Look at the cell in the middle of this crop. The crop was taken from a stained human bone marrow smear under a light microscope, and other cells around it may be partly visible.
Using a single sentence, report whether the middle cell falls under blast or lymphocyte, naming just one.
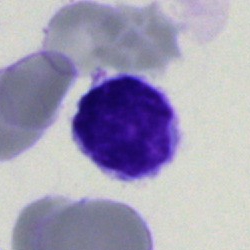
The identification for the central cell is a lymphocyte.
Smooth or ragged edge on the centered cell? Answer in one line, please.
The border of the cell is irregular, being either ragged or extended into projections.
